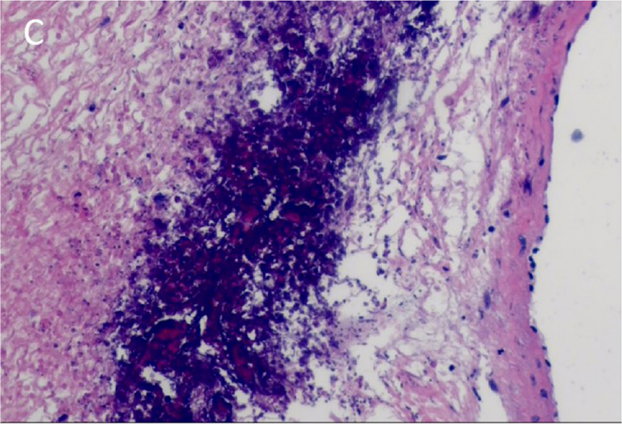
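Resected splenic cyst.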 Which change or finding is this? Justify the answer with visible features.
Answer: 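A patch of dark purple granular deposits lies within pale tissue. The deposits are clumped and fragmented, unlike nuclei. Pink fibrous tissue borders the deposits. On this evidence: focal calcification.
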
